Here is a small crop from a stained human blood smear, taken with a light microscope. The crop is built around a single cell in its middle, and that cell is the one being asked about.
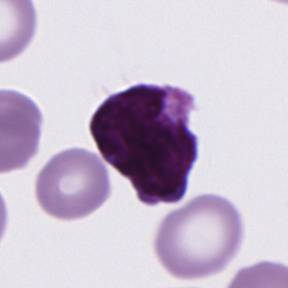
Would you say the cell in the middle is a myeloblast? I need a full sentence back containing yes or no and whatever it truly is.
Yes, the cell in the middle has the identity of a myeloblast.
